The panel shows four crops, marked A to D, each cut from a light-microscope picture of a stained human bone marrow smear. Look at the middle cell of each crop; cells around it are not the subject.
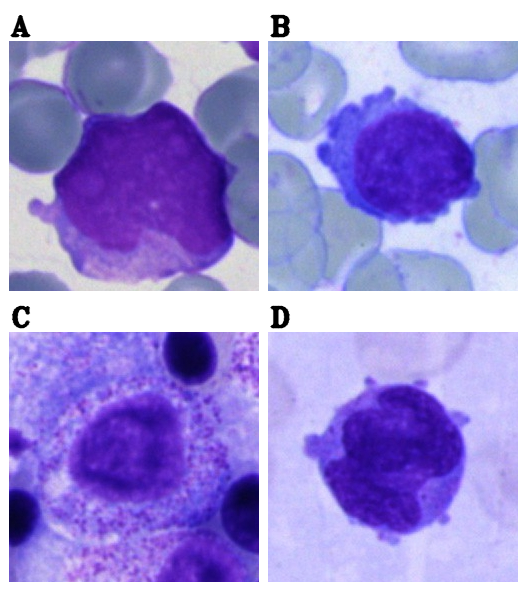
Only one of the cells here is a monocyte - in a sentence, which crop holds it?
Crop D is the one that shows a monocyte.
